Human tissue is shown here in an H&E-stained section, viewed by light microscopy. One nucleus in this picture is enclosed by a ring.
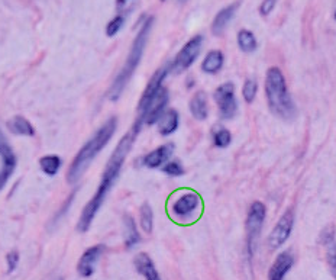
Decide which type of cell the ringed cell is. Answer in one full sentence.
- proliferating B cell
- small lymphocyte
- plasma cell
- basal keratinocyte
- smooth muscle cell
In the tissue at hand, the ringed cell is a smooth muscle cell.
